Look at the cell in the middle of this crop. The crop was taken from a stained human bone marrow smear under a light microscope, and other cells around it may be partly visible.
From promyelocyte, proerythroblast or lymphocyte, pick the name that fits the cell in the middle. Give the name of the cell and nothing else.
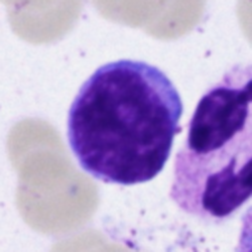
lymphocyte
